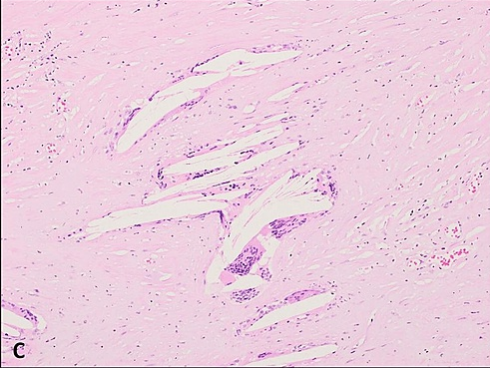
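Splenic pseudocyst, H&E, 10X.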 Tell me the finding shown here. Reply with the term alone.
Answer: Giant cell reaction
